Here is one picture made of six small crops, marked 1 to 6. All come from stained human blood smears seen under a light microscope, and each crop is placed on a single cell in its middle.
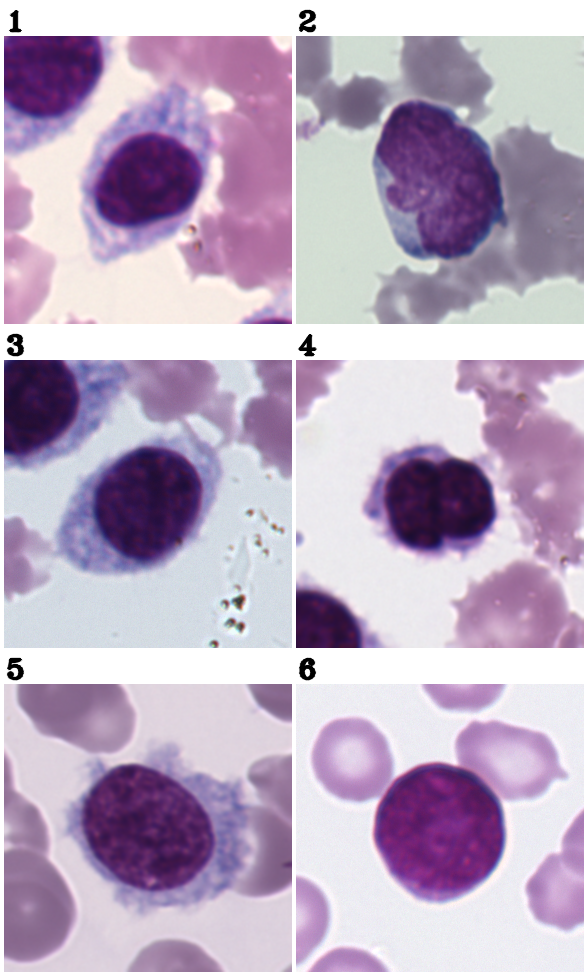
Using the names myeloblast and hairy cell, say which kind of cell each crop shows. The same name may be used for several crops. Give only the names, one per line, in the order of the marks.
hairy cell
myeloblast
hairy cell
hairy cell
hairy cell
myeloblast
